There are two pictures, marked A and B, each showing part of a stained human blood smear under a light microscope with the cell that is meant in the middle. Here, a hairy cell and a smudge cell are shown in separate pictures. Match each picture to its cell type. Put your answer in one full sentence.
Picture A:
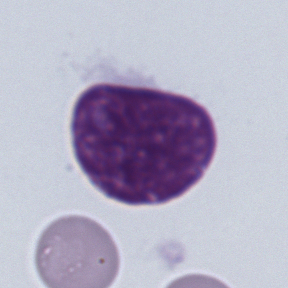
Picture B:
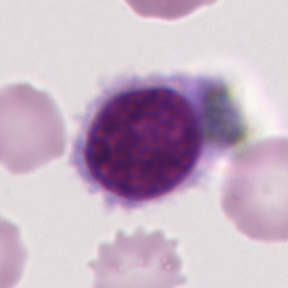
It is picture A that shows a smudge cell, and picture B that shows a hairy cell.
